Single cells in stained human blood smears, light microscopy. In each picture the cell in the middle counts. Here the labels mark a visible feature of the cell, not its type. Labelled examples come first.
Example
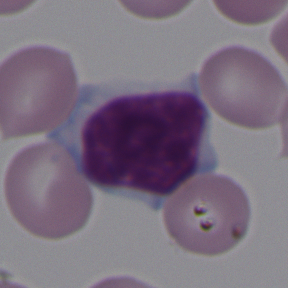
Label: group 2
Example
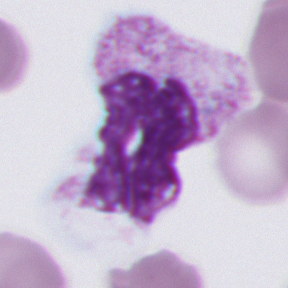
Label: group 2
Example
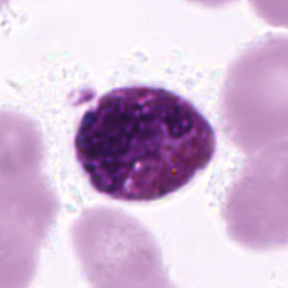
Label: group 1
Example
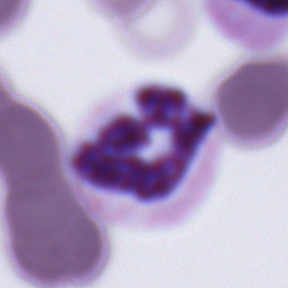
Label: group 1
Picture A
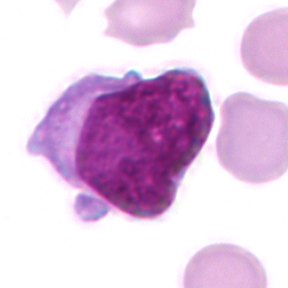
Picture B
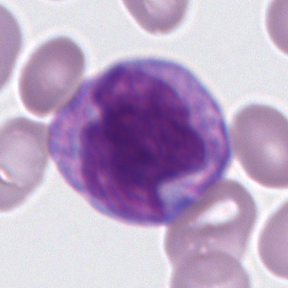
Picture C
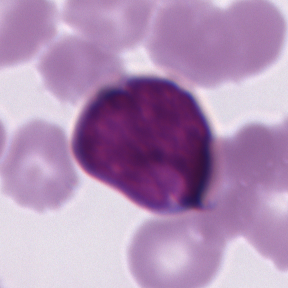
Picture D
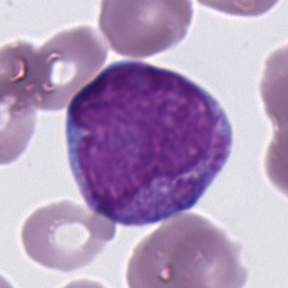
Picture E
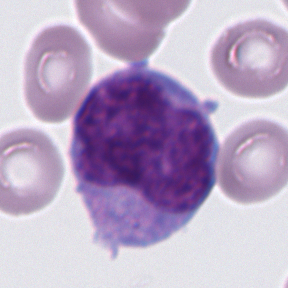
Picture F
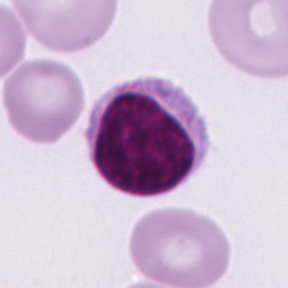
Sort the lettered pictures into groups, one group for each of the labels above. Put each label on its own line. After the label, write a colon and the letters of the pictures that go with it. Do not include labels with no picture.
group 2: A, E, F
group 1: B, C, D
